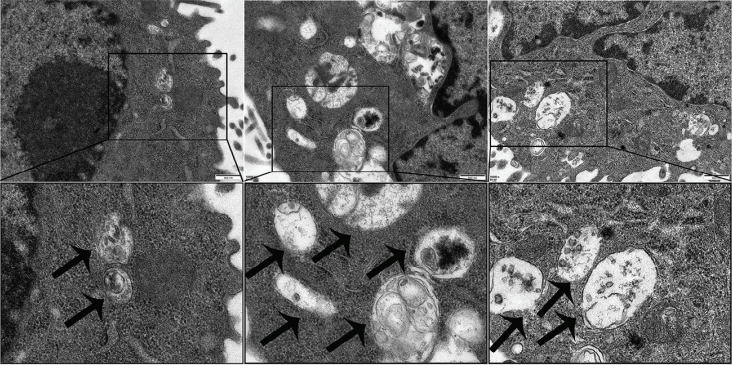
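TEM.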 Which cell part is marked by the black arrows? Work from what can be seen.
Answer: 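The arrows point to round membrane-bound vesicles in the cytoplasm. The vesicles contain whorled membranes and dense debris.
Autophagic vacuoles.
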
